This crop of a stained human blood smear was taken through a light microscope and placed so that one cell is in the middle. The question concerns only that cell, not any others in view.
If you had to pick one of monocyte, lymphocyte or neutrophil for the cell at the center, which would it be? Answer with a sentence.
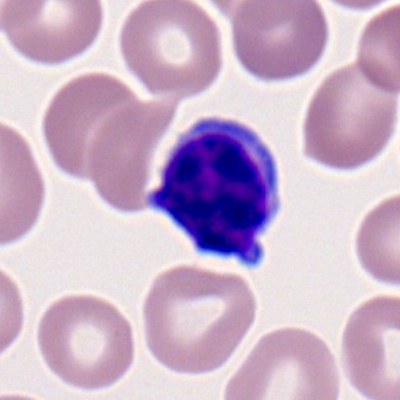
The cell of interest, in the center, is a lymphocyte.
